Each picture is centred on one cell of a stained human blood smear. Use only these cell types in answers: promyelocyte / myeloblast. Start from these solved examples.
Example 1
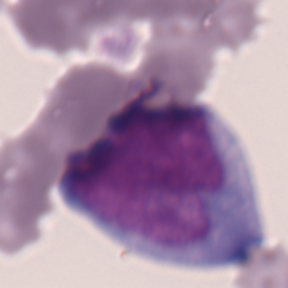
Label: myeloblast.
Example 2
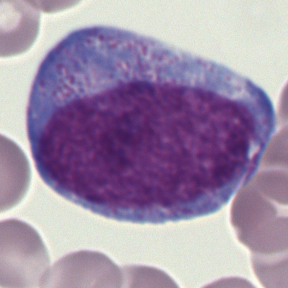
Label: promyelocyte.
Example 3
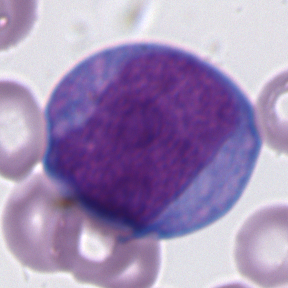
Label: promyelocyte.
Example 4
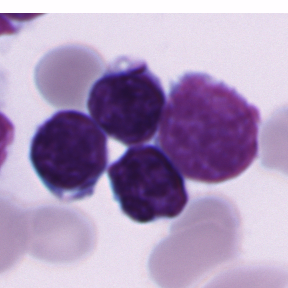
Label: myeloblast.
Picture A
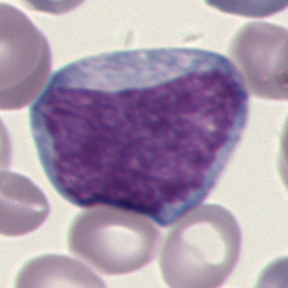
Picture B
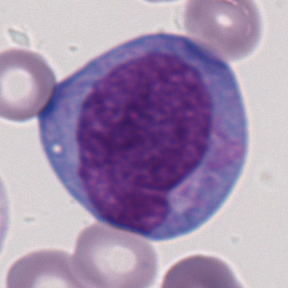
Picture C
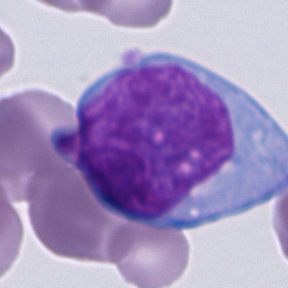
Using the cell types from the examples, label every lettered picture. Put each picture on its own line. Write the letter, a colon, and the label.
A: promyelocyte.
B: promyelocyte.
C: myeloblast.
